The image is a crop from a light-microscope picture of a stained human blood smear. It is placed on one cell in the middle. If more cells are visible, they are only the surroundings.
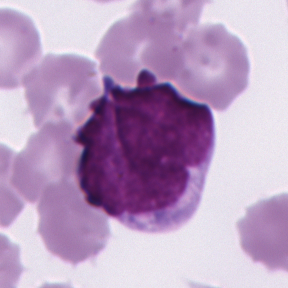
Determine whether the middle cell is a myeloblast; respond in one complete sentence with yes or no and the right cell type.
Yes, the crop is centred on a myeloblast.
